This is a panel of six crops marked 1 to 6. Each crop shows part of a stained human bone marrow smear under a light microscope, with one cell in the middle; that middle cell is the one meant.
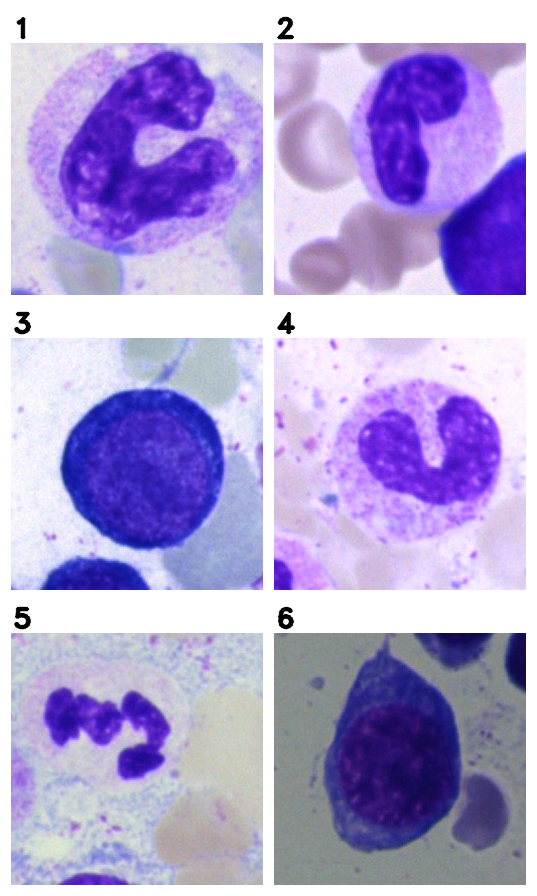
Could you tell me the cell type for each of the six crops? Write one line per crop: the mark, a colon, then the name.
1: band neutrophil
2: band neutrophil
3: proerythroblast
4: band neutrophil
5: segmented neutrophil
6: proerythroblast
